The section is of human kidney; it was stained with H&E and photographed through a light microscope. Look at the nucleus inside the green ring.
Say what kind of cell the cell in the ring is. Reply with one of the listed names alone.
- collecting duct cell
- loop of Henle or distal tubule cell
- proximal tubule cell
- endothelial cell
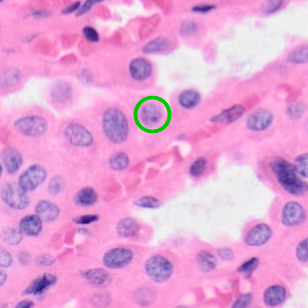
loop of Henle or distal tubule cell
